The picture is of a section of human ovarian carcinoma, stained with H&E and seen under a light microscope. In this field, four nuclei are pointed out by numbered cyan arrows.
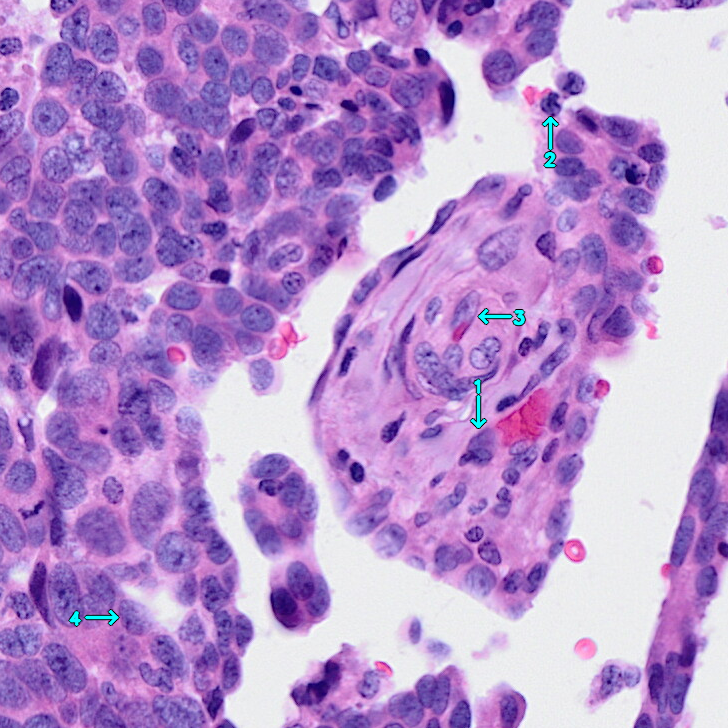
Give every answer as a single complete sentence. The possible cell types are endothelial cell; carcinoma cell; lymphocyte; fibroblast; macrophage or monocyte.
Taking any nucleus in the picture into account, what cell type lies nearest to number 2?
The nearest nucleus to number 2 belongs to a macrophage or monocyte.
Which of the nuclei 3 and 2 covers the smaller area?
Nucleus 2 is the smaller one; nucleus 3 covers about 2 times its area.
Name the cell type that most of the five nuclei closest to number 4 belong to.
Around number 4, most of the five nearest nuclei are those of carcinoma cells.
